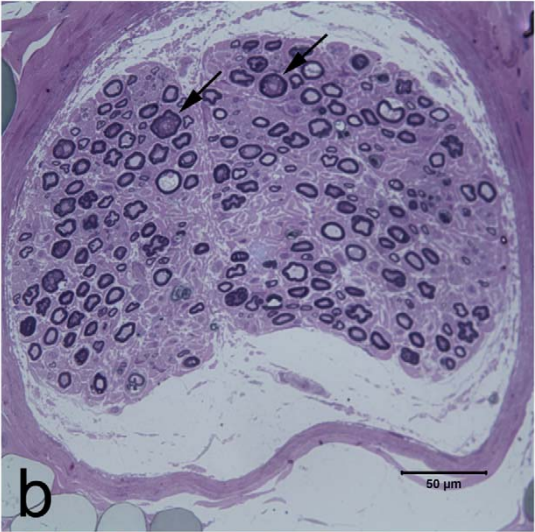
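A transverse section of a peripheral nerve fascicle shows myelinated nerve fibers as dark purple rings surrounding pale axons, scattered within a lighter purple endoneurium and enclosed by a pink-purple perineurial sheath. The fibers are irregularly spaced and relatively sparse, with broad areas between them lacking myelinated profiles, and a large clear space lies between the fascicle and its sheath at the bottom. Fibers vary in size; some are crenated or folded. A few fibers contain dark, granular, collapsed material in place of a clear axon, consistent with degenerating fibers.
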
